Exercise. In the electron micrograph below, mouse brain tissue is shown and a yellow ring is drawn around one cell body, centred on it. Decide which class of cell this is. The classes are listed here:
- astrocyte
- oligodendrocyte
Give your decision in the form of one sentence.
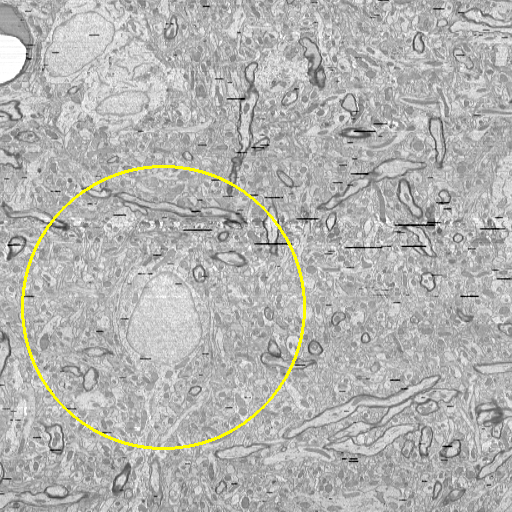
The cell body marked by the ring belongs to an astrocyte.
